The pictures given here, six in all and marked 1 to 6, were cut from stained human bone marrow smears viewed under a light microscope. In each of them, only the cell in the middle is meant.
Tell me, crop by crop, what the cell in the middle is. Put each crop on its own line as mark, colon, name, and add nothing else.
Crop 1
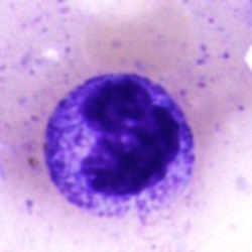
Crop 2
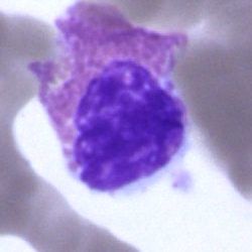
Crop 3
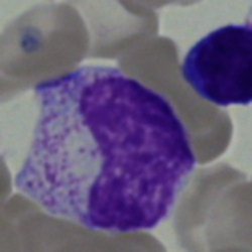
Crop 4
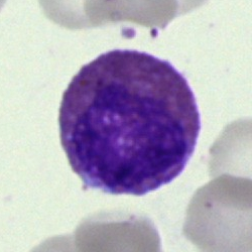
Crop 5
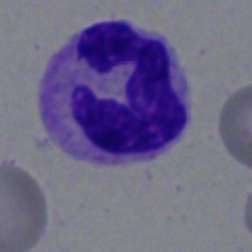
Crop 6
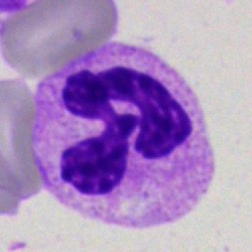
1: metamyelocyte
2: eosinophil
3: metamyelocyte
4: eosinophil
5: segmented neutrophil
6: segmented neutrophil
